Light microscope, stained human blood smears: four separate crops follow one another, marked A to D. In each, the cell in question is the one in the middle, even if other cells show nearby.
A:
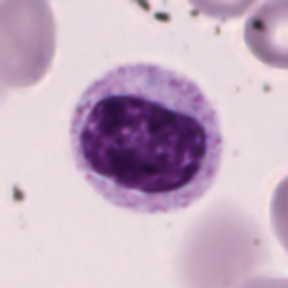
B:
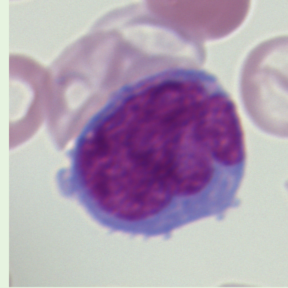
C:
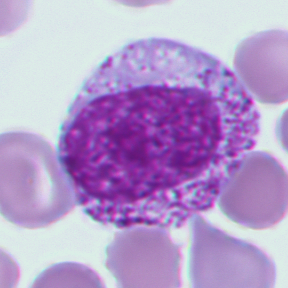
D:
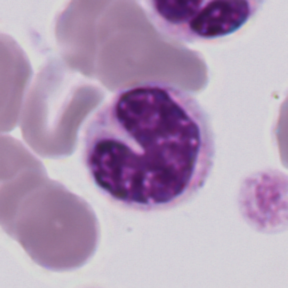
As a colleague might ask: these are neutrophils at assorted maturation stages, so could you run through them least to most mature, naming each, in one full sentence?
In maturational order, earliest to latest, the sequence is crop B (a myeloblast), crop C (a myelocyte), crop A (a metamyelocyte) and crop D (a band neutrophil).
